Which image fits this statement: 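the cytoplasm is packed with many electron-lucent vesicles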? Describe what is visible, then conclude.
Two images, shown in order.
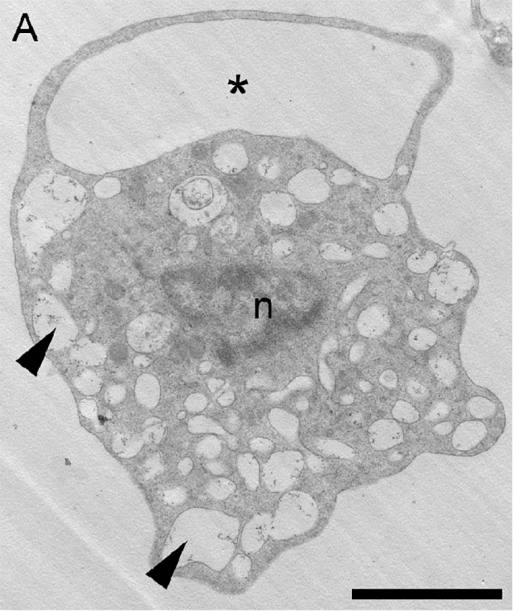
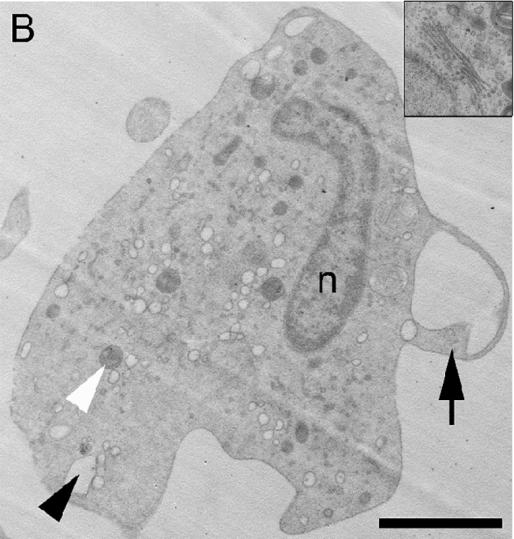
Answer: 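The first image. Second image: the cytoplasm is mostly granular with only small scattered pale vesicles. First image: large pale round vesicles crowd the whole cytoplasm.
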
